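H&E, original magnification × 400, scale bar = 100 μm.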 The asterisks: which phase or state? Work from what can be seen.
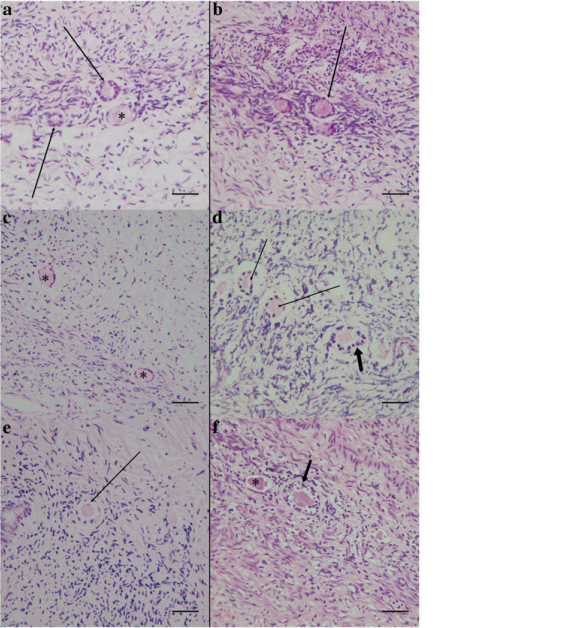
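Primordial follicles. The marked structures are small, about the size of a few stromal nuclei across.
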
